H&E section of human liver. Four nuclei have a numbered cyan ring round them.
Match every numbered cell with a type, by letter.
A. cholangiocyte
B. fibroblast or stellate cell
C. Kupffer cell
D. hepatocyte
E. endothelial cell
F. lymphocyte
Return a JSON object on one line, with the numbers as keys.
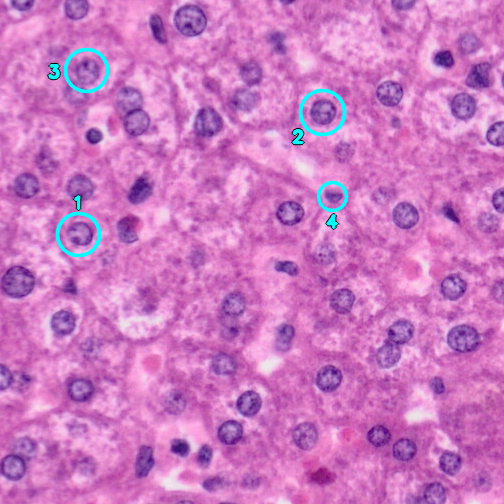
{"1": "D", "2": "D", "3": "D", "4": "E"}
